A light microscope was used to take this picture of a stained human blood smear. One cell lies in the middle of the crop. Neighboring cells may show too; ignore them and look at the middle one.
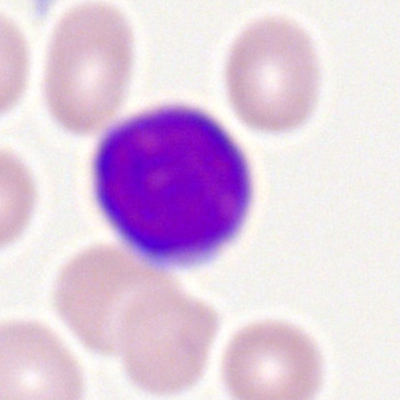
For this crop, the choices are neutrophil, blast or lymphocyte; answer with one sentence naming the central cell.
The cell at the middle of the crop is recognized as a blast.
